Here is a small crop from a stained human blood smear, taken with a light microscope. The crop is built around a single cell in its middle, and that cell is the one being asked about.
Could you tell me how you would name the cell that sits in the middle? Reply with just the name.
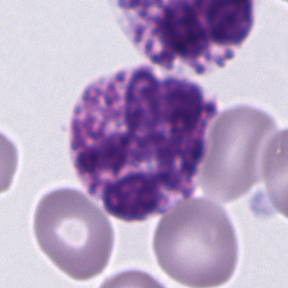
basophil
